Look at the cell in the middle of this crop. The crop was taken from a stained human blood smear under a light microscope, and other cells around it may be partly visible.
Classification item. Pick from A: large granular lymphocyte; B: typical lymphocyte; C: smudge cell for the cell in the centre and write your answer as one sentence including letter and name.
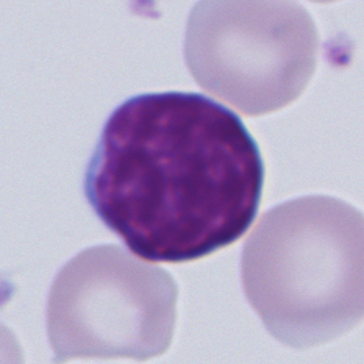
The one cell at the centre is a typical lymphocyte, as correctly stated in option B.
